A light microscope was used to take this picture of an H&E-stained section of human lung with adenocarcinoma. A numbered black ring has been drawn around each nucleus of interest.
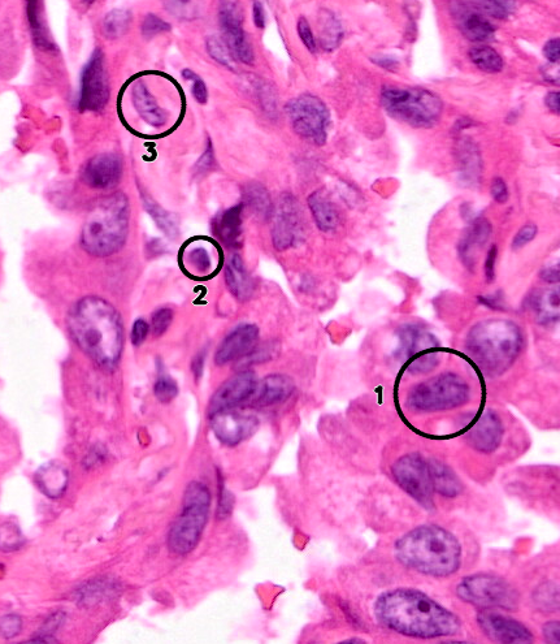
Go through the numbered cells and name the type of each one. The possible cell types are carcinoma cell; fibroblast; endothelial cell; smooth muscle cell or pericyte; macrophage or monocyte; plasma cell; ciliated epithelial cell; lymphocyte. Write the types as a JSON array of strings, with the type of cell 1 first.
["carcinoma cell", "lymphocyte", "fibroblast"]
